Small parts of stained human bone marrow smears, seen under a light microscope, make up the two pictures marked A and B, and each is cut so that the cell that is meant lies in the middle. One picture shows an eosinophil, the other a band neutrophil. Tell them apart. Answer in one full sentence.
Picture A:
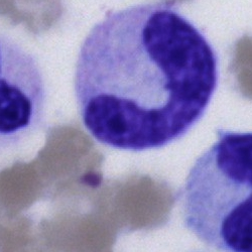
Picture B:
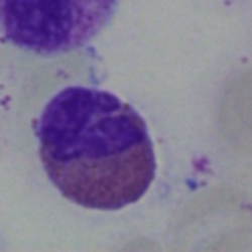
Picture A shows a band neutrophil and picture B shows an eosinophil.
